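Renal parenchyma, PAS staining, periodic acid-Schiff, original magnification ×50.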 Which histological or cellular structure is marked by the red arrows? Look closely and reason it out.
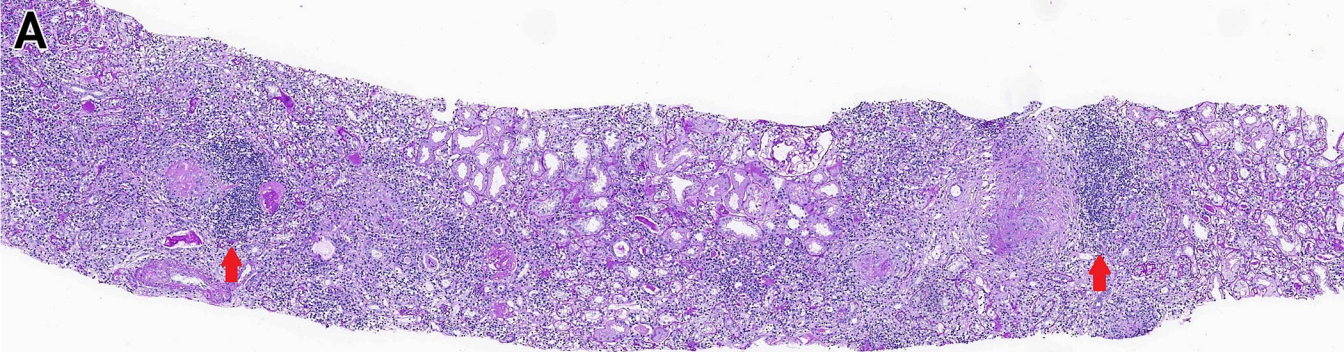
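Tertiary lymphoid organ formation. Each red arrow points to a dense, rounded, dark blue cluster of small cells. The clusters lie within kidney tissue among tubules and glomeruli.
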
